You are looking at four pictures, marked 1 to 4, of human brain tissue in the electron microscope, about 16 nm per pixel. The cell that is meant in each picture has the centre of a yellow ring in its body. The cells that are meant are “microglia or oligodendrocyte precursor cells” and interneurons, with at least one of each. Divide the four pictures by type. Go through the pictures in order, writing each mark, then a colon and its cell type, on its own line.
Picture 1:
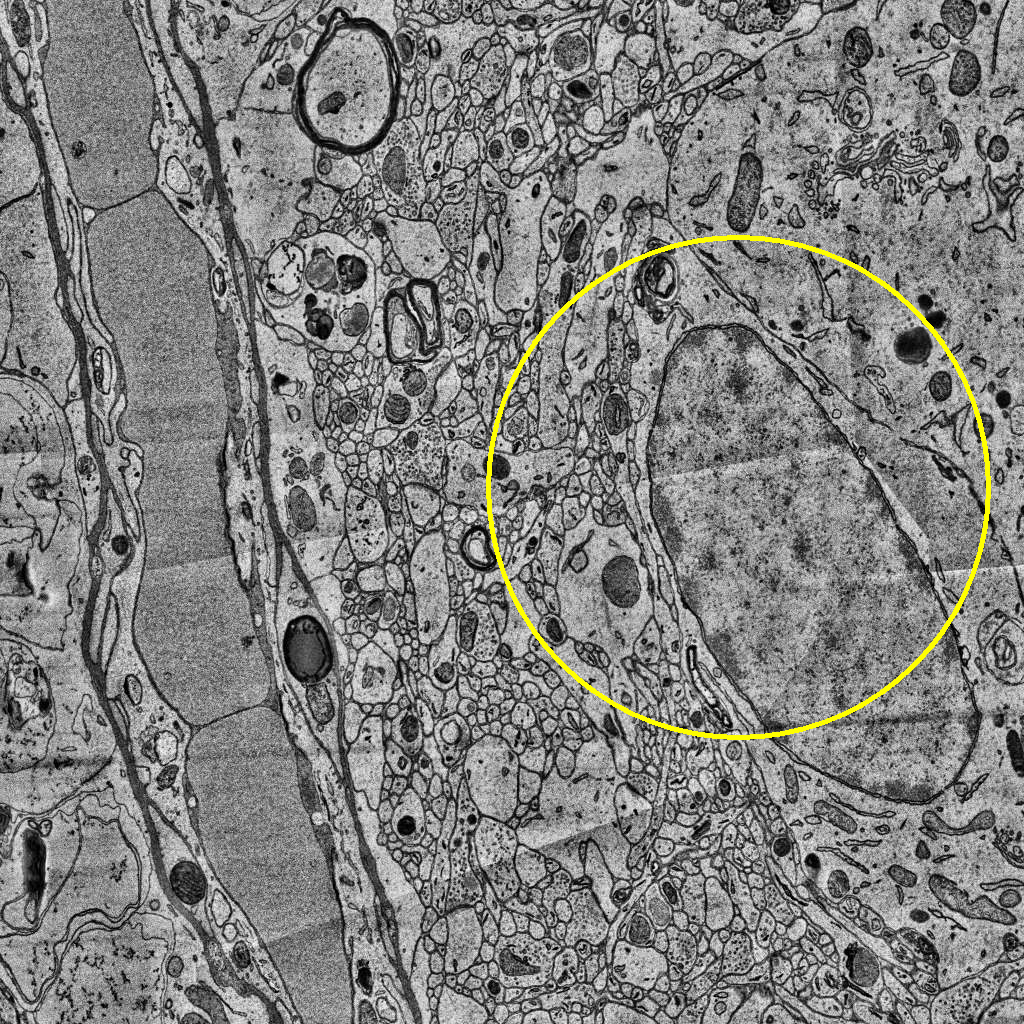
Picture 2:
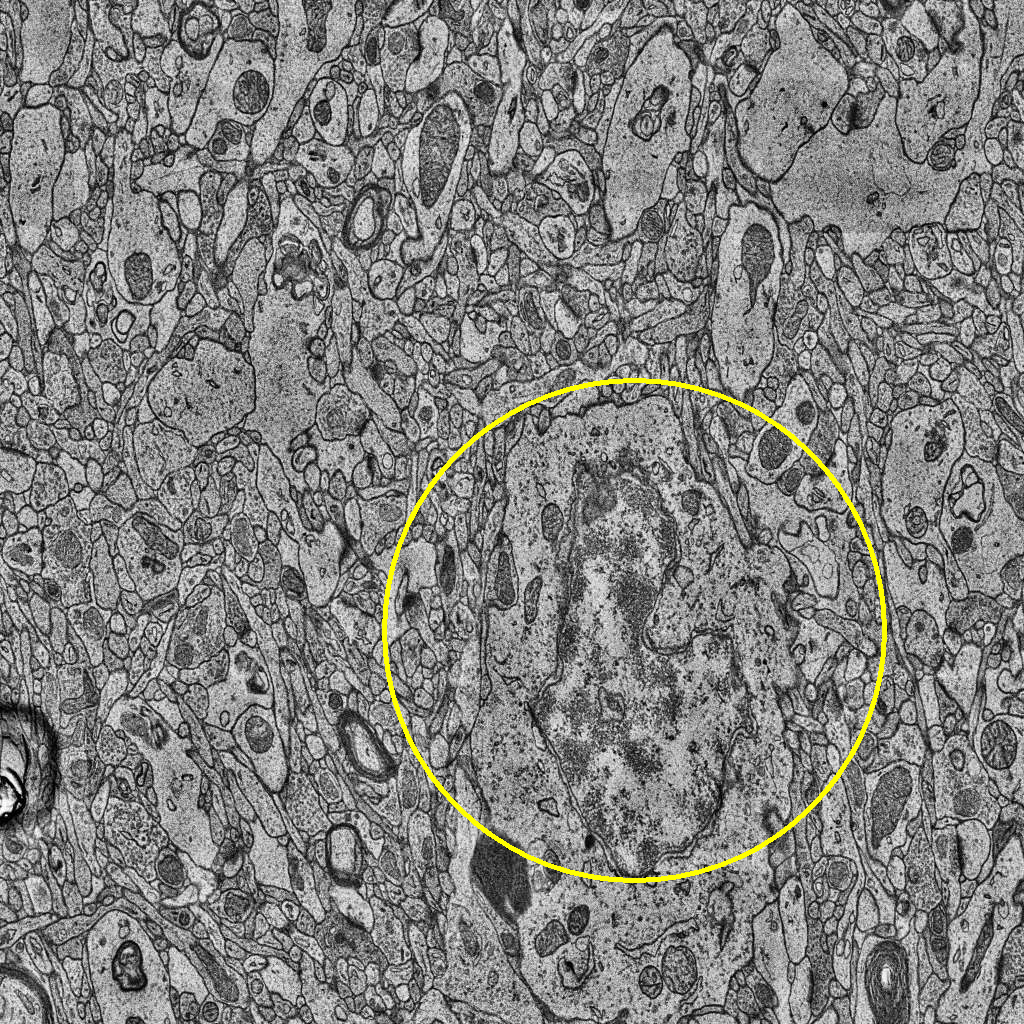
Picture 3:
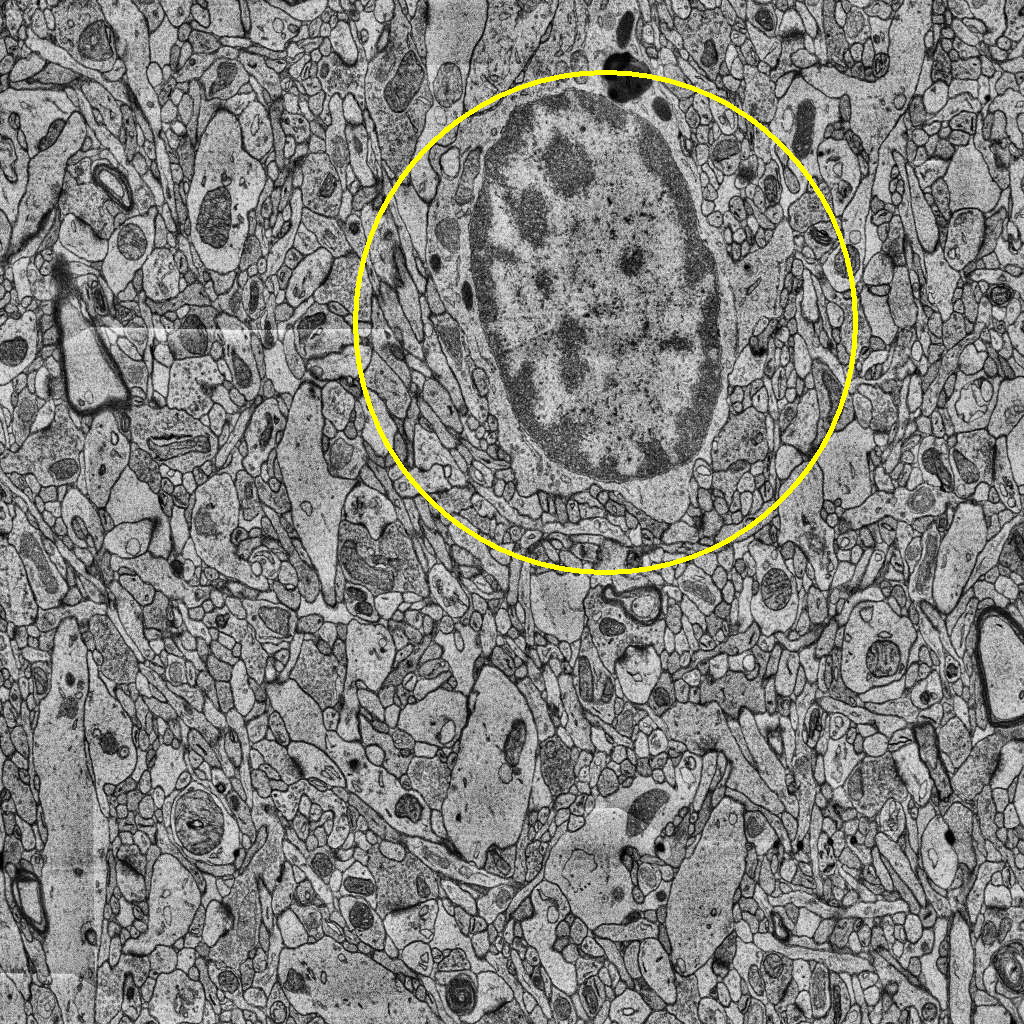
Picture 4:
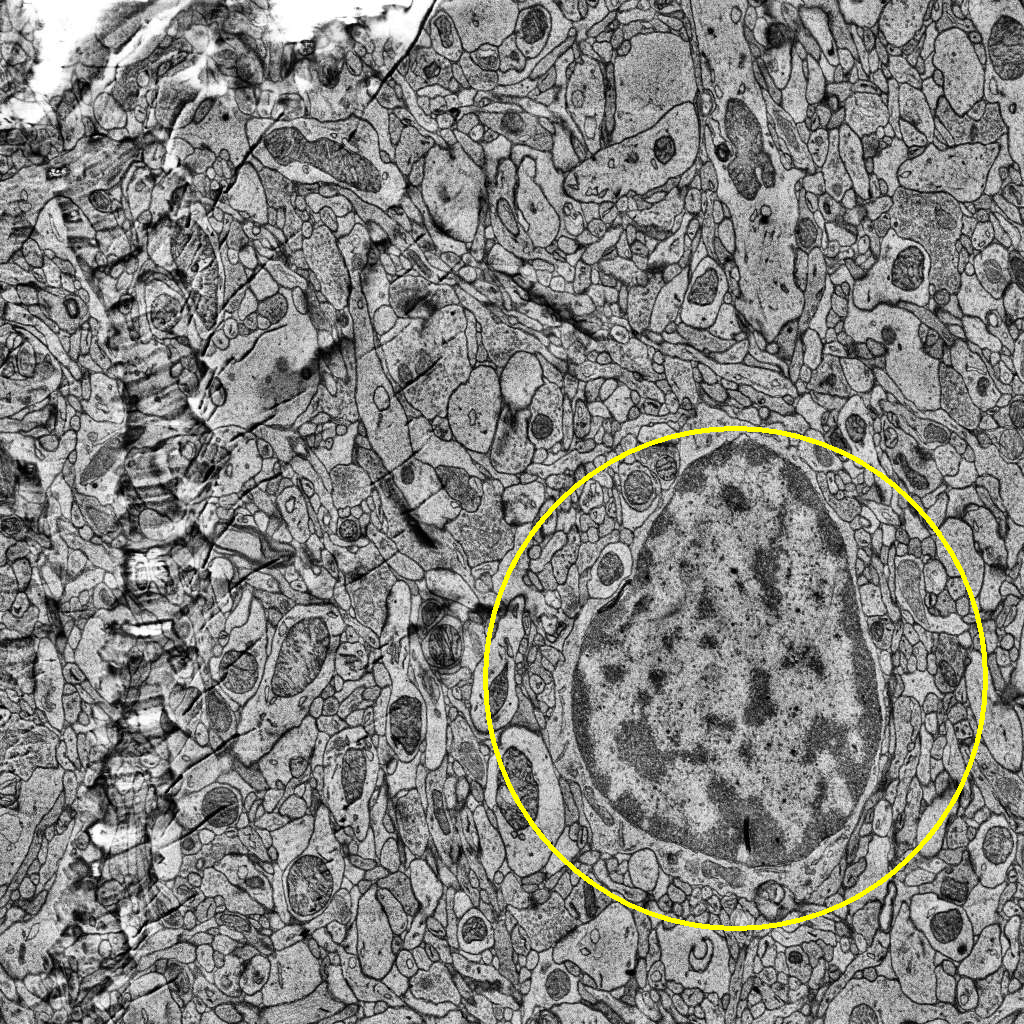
1: microglia or oligodendrocyte precursor cell
2: interneuron
3: microglia or oligodendrocyte precursor cell
4: microglia or oligodendrocyte precursor cell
